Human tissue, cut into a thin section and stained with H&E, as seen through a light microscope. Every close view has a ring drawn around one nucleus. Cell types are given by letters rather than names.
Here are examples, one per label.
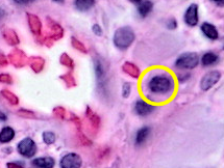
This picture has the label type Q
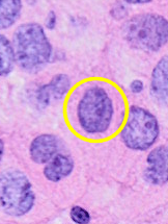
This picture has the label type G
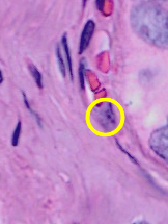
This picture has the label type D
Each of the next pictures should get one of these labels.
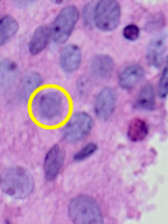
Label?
type G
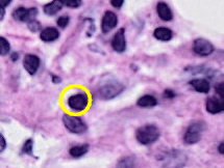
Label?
type Q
